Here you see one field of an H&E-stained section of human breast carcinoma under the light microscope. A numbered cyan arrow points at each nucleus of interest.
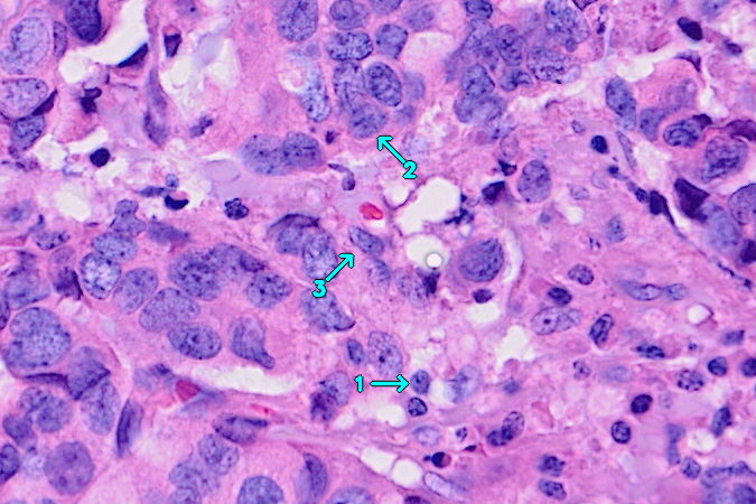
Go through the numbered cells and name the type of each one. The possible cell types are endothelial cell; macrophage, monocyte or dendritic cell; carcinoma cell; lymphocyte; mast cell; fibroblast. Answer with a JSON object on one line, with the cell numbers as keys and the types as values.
{"1": "lymphocyte", "2": "carcinoma cell", "3": "endothelial cell"}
